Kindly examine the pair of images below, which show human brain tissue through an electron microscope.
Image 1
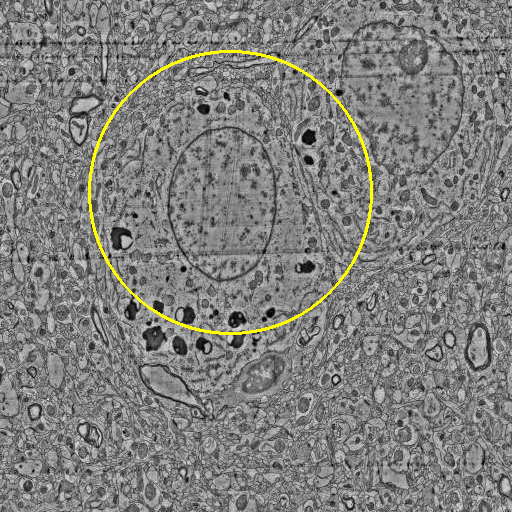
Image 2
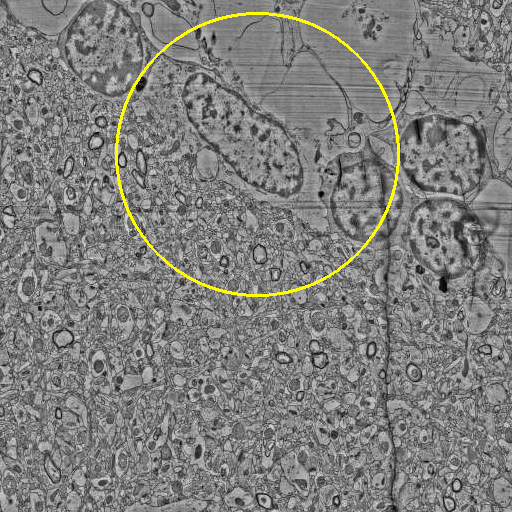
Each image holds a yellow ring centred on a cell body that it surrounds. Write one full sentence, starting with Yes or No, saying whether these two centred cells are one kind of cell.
No, the cells at the centres of the yellow rings belong to two kinds of cell.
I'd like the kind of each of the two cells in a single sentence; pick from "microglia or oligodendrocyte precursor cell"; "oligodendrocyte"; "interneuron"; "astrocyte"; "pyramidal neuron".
The first ring marks a pyramidal neuron, and the second ring marks a microglial cell or oligodendrocyte precursor cell.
